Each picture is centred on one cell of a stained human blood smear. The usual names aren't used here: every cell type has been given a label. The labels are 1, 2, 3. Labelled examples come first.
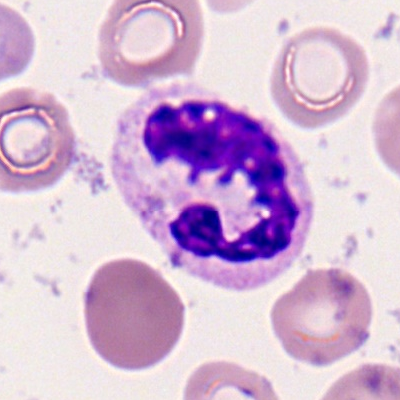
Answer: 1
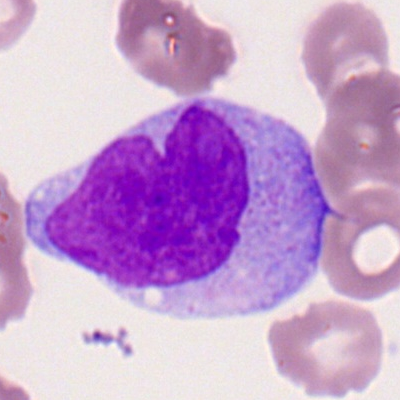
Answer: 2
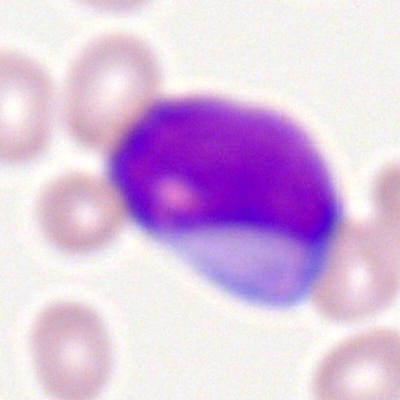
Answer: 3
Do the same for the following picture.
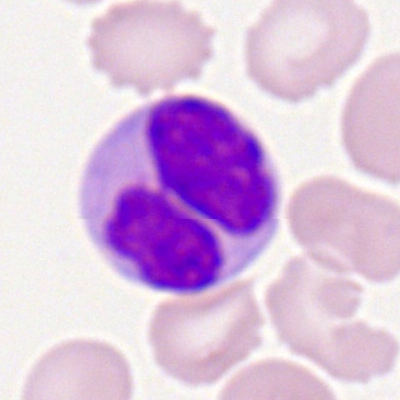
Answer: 2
